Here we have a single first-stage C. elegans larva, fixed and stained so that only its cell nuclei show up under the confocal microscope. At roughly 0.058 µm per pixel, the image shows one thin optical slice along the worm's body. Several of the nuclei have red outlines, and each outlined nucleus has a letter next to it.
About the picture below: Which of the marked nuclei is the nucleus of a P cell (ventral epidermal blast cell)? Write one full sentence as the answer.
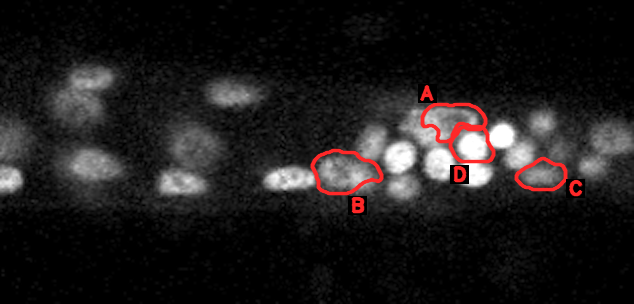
Nucleus B belongs to a P cell (ventral epidermal blast cell).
